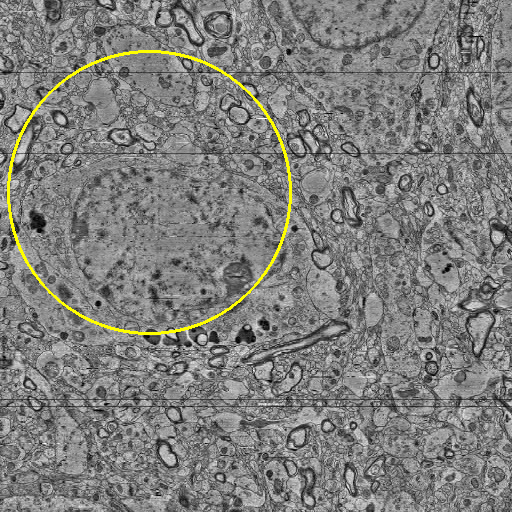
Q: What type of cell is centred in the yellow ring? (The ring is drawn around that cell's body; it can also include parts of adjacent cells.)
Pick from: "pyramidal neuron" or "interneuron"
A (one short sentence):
The yellow ring is centred on an interneuron.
